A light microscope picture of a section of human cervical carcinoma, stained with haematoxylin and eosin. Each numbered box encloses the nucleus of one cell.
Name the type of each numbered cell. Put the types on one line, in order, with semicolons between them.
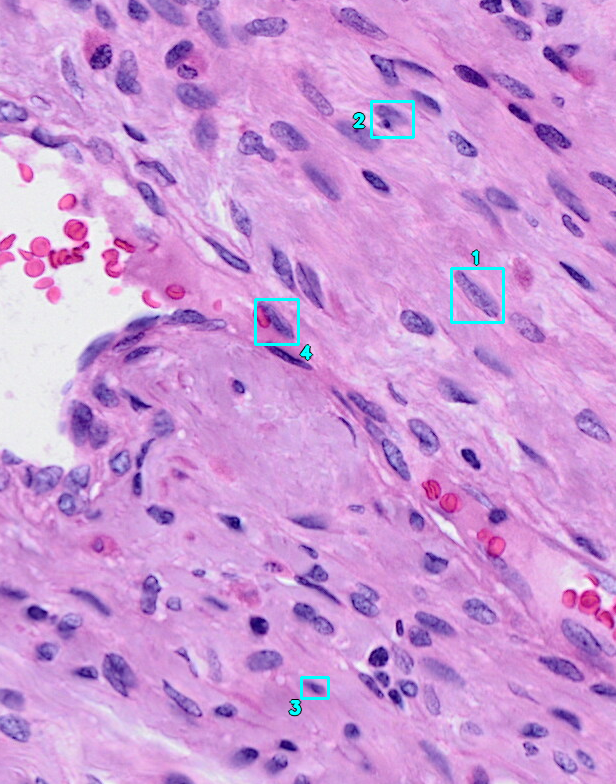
fibroblast; fibroblast; fibroblast; endothelial cell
